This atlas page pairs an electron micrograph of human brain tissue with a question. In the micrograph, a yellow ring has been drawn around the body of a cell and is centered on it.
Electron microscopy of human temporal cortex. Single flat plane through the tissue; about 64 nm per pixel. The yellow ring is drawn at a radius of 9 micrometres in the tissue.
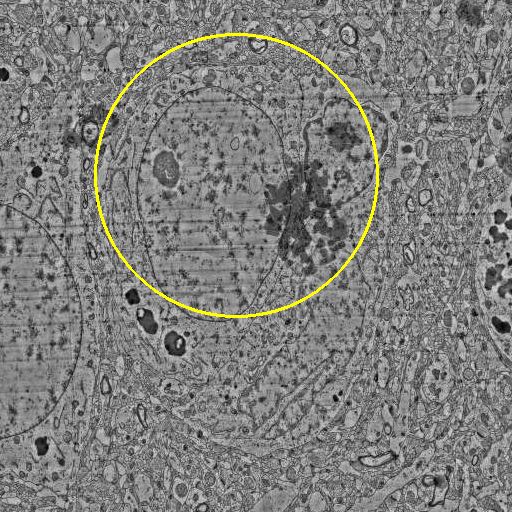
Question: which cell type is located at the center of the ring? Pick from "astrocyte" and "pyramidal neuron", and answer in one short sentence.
Located at the center of the ring is a pyramidal neuron.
